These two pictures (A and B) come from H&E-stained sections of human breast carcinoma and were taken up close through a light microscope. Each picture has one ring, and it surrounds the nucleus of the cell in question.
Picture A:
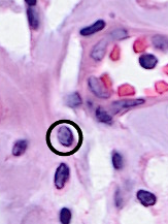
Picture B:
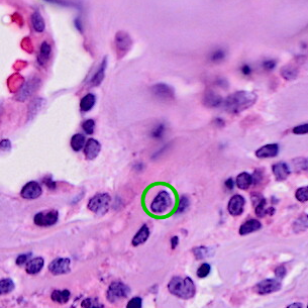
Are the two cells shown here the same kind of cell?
yes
